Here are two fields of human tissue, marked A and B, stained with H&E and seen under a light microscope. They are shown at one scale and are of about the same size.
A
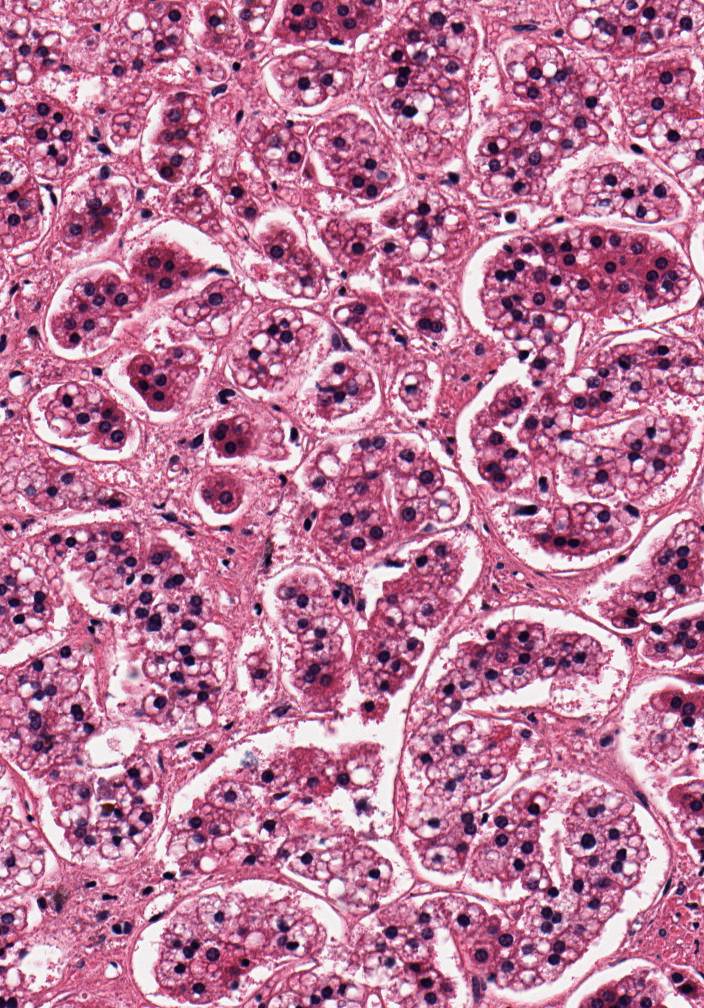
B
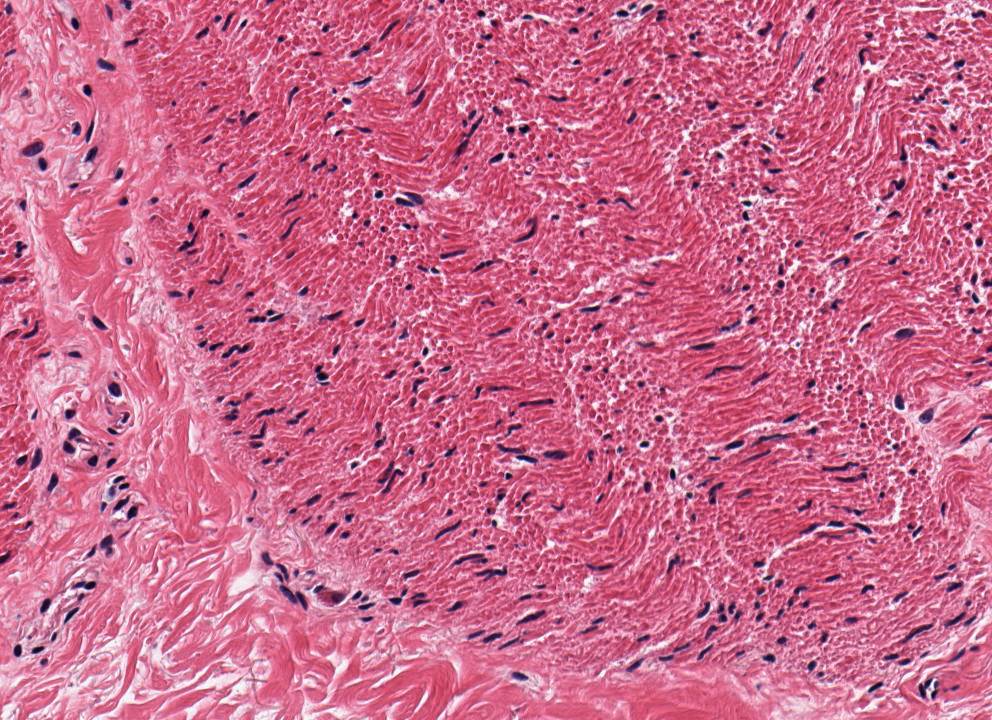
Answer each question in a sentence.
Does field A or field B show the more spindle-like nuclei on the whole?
The nuclei are more elongated in field B.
